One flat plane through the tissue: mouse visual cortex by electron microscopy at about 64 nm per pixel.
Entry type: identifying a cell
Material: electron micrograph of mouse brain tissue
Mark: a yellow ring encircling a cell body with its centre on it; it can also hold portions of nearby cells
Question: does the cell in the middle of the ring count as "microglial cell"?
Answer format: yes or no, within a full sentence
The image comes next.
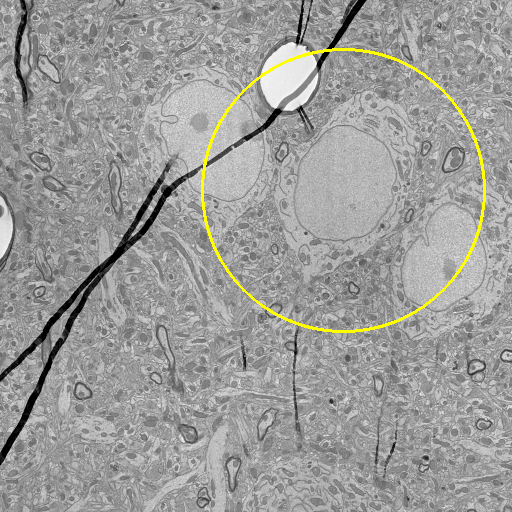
No, in the image, the cell in the middle of the yellow ring counts as a different kind.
